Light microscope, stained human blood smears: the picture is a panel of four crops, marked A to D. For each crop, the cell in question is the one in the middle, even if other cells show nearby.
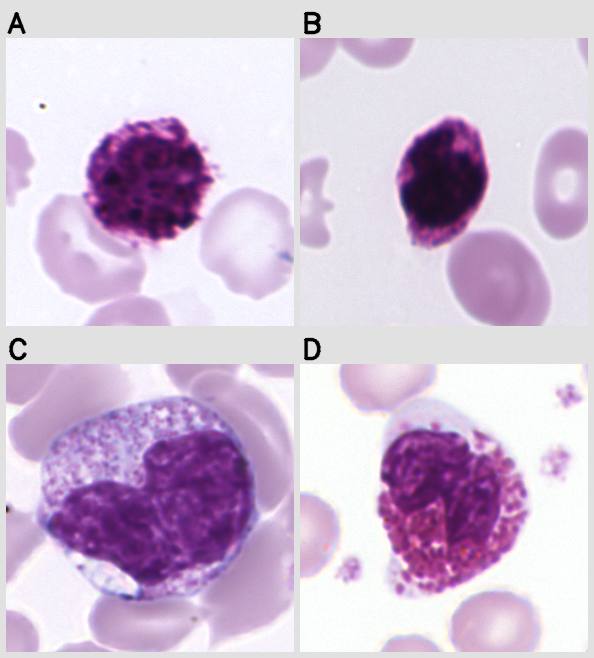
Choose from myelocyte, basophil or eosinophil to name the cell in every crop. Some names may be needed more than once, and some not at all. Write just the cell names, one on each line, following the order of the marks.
basophil
basophil
myelocyte
eosinophil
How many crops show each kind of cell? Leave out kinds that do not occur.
basophil: 2
myelocyte: 1
eosinophil: 1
